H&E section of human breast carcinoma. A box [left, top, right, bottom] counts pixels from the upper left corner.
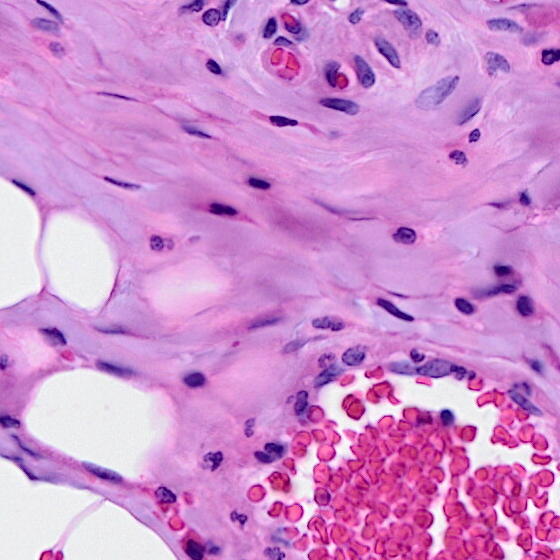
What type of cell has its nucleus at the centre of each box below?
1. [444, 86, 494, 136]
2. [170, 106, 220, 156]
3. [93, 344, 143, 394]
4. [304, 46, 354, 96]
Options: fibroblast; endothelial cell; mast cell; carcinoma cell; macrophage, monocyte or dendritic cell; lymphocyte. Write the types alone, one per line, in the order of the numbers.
fibroblast
fibroblast
fibroblast
endothelial cell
